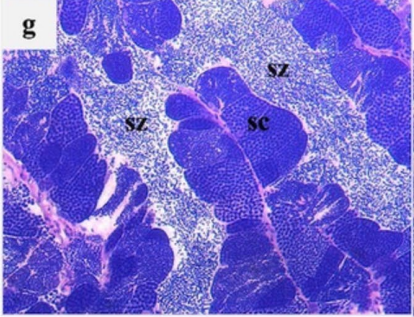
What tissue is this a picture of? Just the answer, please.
testes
